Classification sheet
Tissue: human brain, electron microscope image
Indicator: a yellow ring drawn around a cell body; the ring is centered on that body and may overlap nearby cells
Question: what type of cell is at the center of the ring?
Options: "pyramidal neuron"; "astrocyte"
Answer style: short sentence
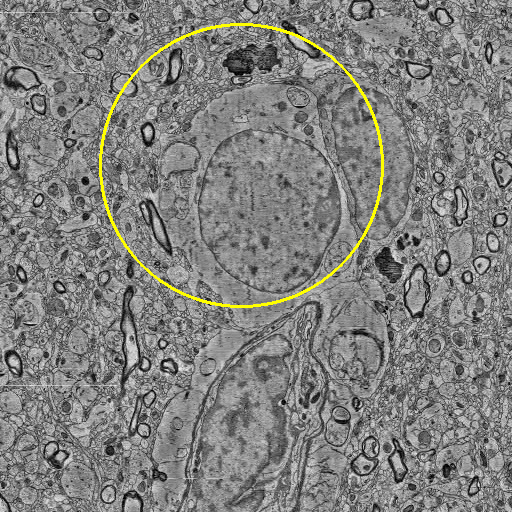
At the ring's center is an astrocyte.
